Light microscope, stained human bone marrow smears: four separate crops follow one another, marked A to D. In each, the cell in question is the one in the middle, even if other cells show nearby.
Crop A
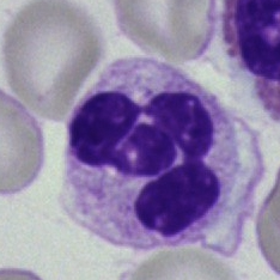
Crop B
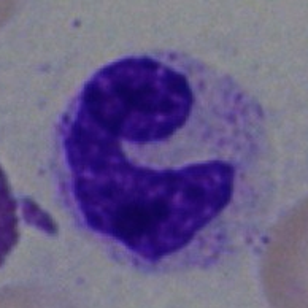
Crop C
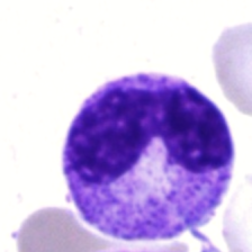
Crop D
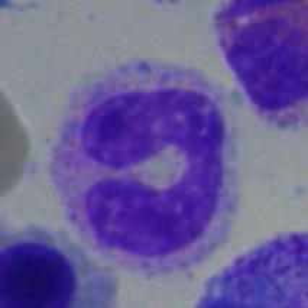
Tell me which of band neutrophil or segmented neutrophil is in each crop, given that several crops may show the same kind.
A: segmented neutrophil
B: band neutrophil
C: band neutrophil
D: band neutrophil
